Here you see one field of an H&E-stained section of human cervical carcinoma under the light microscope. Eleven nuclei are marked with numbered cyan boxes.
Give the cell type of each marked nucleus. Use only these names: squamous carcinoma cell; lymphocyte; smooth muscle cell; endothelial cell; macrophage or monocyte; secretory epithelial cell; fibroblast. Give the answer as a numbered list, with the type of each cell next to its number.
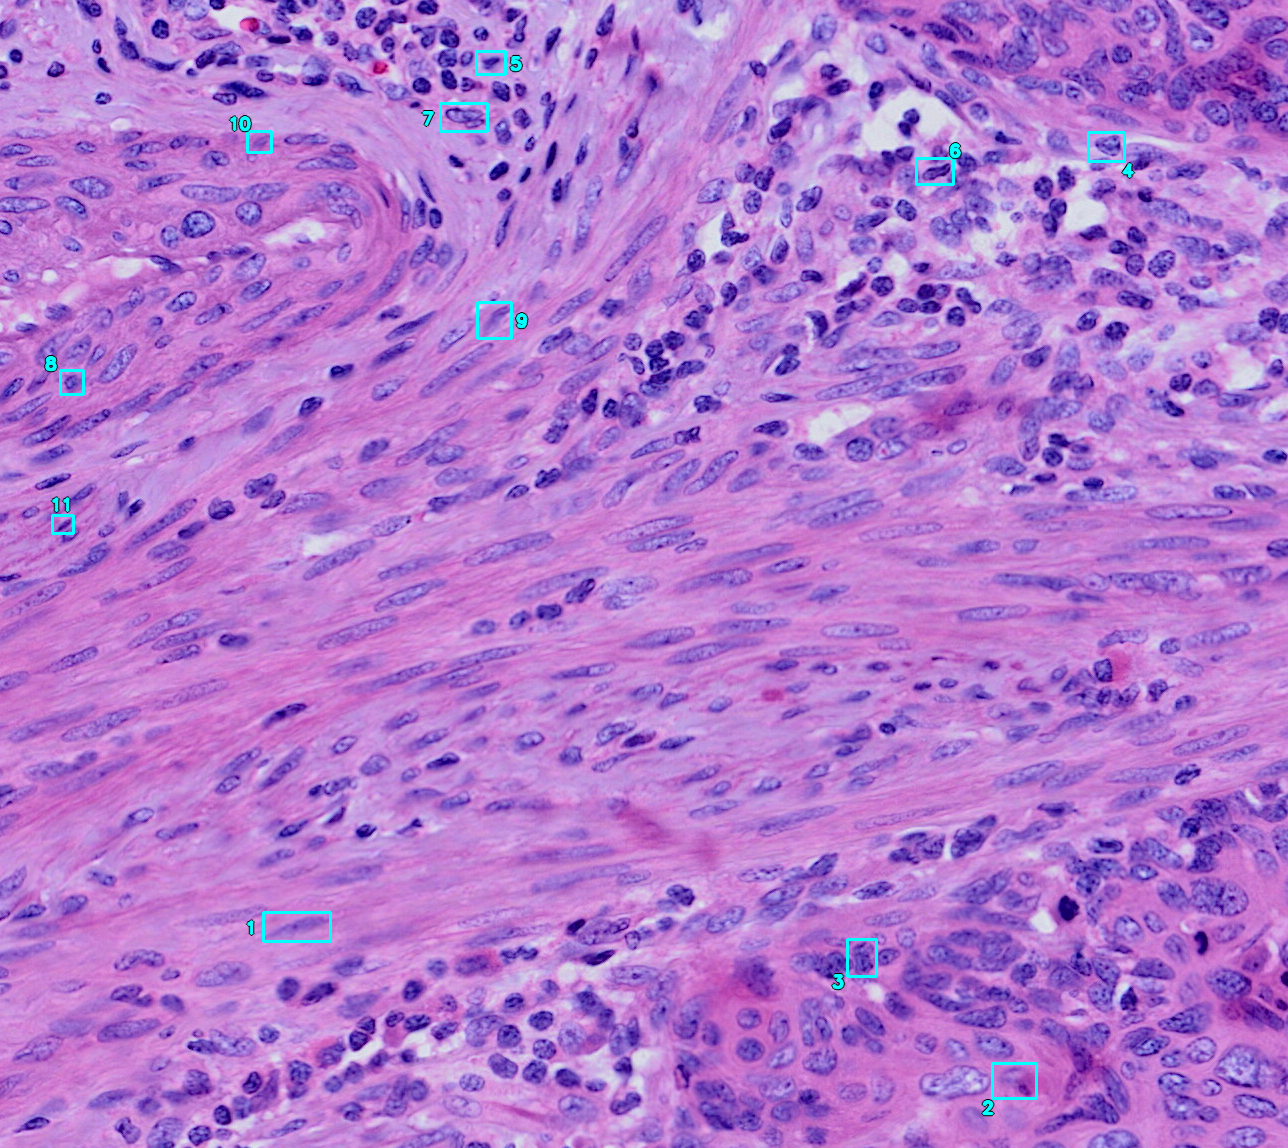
1. fibroblast
2. squamous carcinoma cell
3. squamous carcinoma cell
4. lymphocyte
5. fibroblast
6. lymphocyte
7. endothelial cell
8. smooth muscle cell
9. smooth muscle cell
10. smooth muscle cell
11. smooth muscle cell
